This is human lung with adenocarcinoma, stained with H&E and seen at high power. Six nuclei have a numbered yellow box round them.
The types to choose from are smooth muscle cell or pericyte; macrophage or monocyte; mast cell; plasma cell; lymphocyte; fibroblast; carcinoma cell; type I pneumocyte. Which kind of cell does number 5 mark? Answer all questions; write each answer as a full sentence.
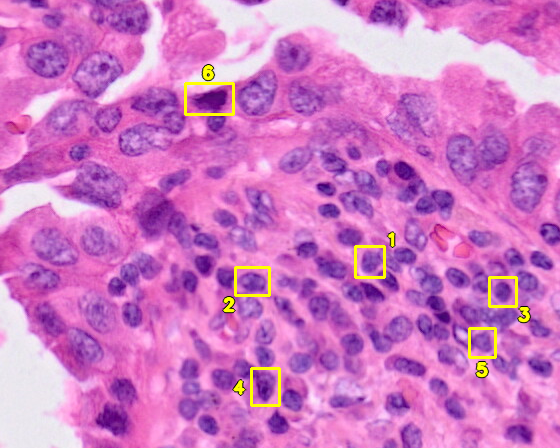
That cell with number 5 is a lymphocyte.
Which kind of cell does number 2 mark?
The label 2 in this section denotes a lymphocyte.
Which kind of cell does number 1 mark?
The nucleus marked 1 is the nucleus of a lymphocyte.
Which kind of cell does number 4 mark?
The marked cell with the number 4 is recognised as a plasma cell.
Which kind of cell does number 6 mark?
The nucleus with number 6 is that of a carcinoma cell.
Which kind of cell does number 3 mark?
Among the marked cells, number 3 is a lymphocyte.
